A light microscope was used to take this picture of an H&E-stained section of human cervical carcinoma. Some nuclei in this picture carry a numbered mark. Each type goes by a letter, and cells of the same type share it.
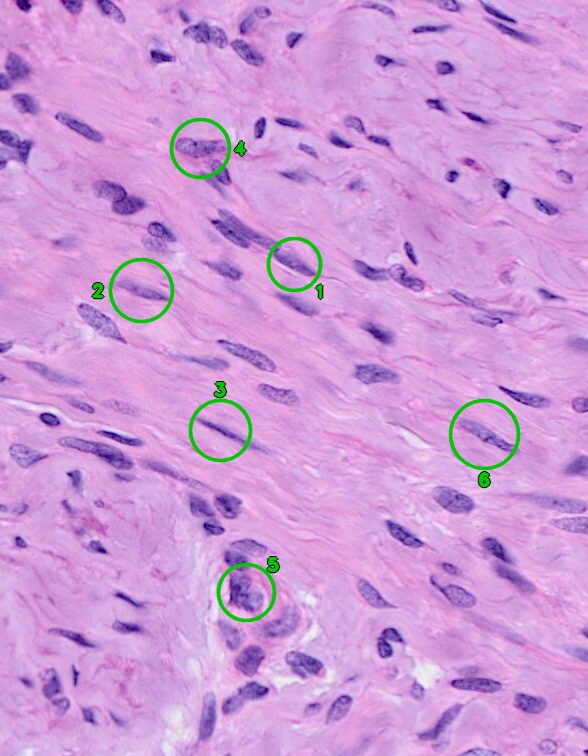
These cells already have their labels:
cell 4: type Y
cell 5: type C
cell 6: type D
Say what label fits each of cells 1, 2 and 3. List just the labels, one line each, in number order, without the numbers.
type D
type D
type D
